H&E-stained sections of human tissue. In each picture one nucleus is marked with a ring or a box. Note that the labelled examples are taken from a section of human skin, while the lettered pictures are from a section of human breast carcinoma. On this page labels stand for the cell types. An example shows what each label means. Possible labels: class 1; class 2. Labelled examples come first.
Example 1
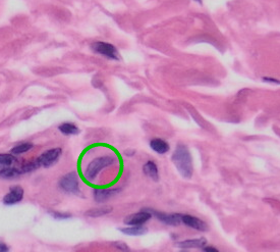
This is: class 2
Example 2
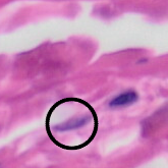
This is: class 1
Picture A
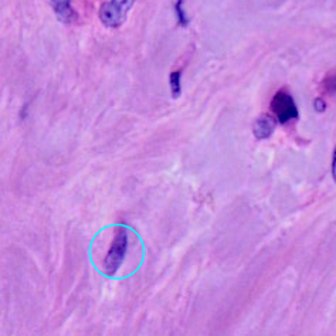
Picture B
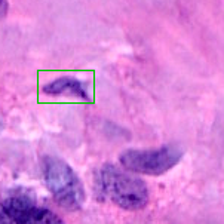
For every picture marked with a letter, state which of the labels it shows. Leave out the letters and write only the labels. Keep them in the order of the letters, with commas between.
class 1, class 1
